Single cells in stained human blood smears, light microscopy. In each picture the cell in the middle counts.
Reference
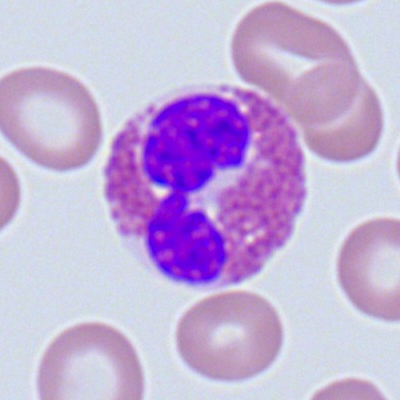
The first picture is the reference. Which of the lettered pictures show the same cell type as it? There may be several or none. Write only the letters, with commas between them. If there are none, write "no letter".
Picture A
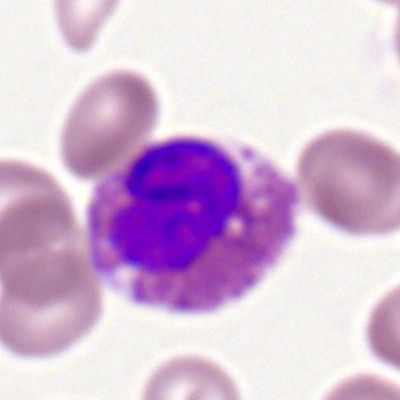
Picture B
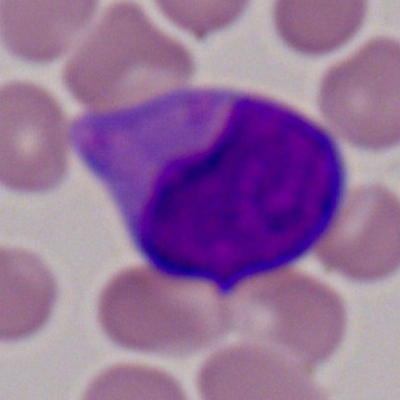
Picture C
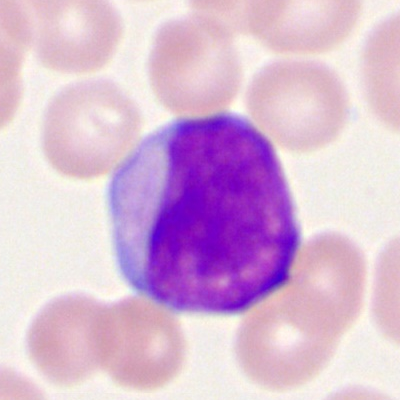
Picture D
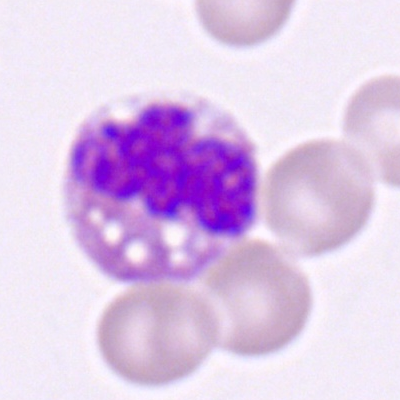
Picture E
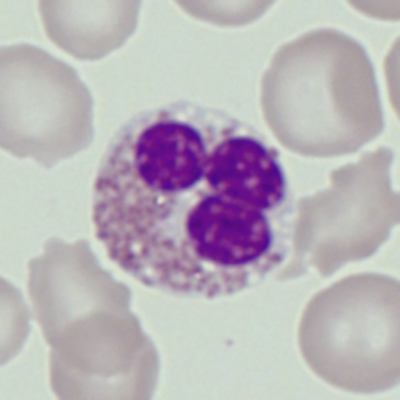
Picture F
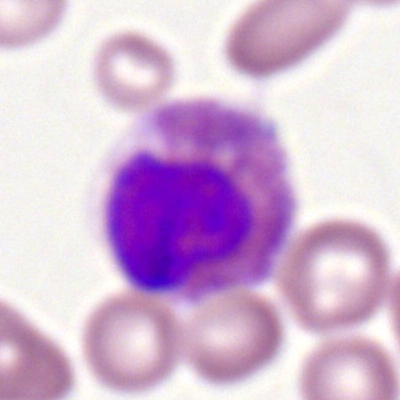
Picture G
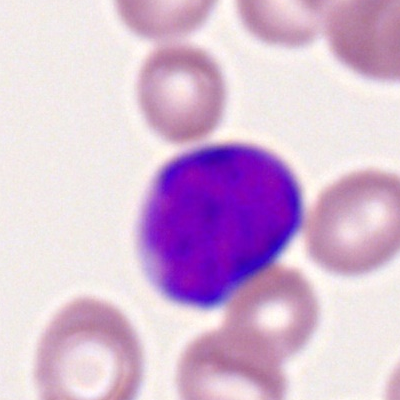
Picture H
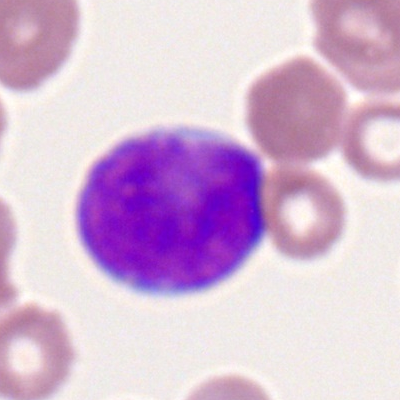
A, D, E, F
